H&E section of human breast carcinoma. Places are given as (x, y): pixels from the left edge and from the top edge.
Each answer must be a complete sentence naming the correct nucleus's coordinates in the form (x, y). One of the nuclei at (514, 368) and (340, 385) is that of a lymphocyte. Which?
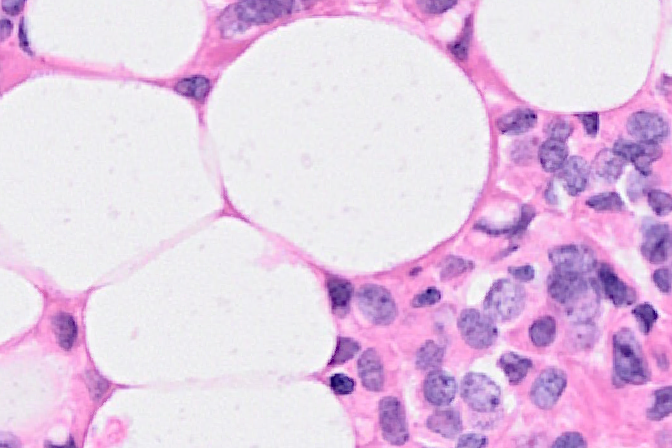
Answering which nucleus it is: the one at (340, 385), belonging to a lymphocyte.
